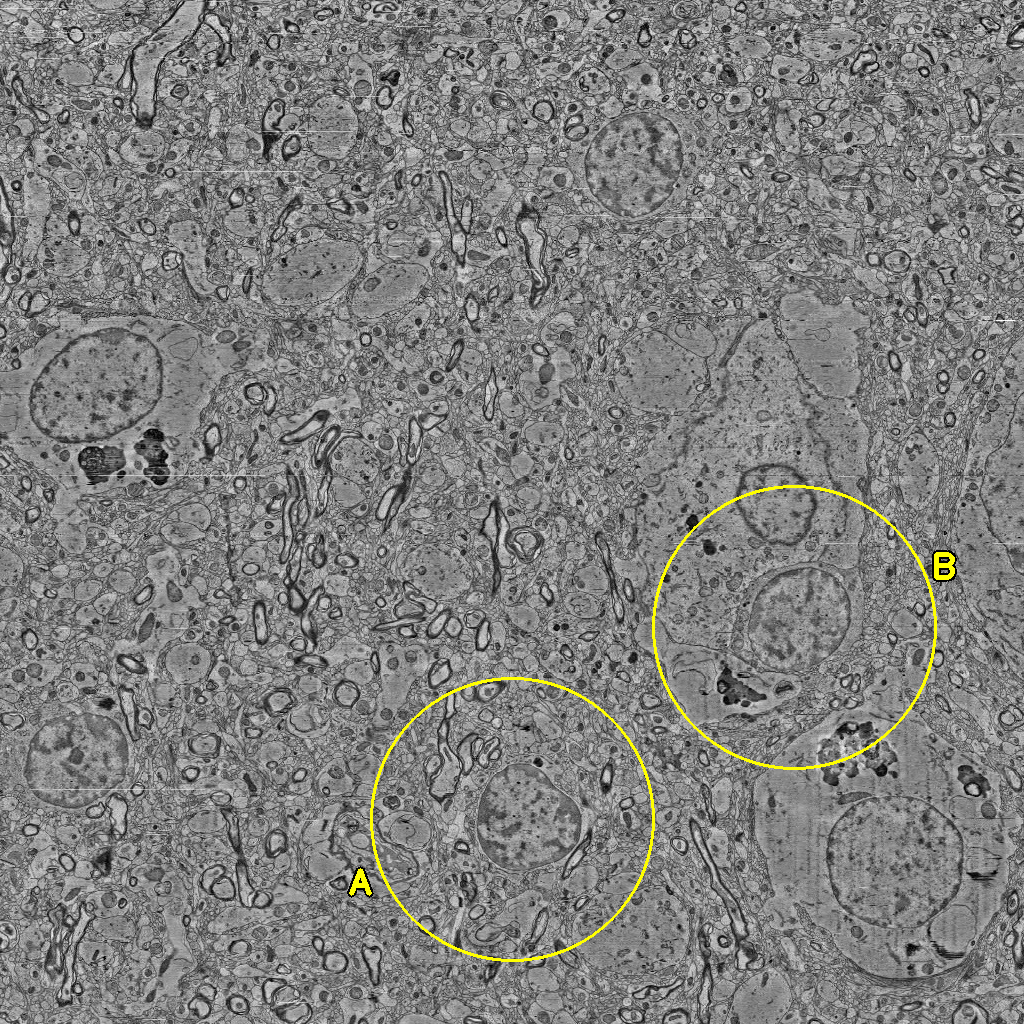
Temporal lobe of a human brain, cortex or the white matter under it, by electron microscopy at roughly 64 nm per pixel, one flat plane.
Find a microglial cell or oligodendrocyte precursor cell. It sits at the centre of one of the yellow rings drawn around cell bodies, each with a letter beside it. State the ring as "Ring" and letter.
Ring A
